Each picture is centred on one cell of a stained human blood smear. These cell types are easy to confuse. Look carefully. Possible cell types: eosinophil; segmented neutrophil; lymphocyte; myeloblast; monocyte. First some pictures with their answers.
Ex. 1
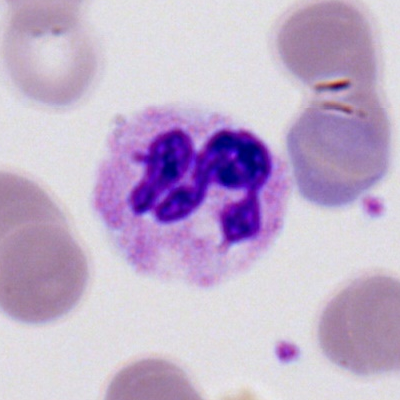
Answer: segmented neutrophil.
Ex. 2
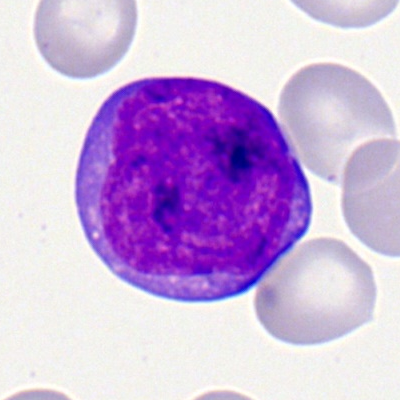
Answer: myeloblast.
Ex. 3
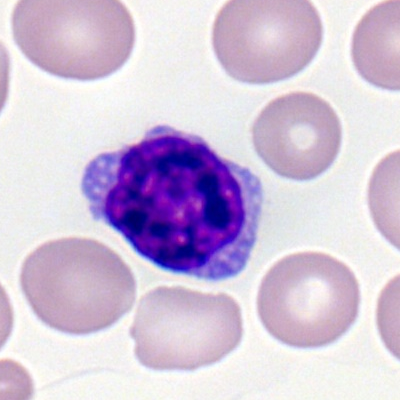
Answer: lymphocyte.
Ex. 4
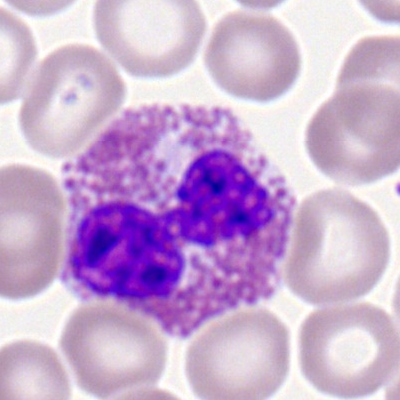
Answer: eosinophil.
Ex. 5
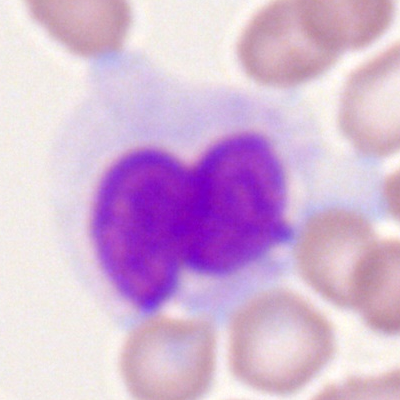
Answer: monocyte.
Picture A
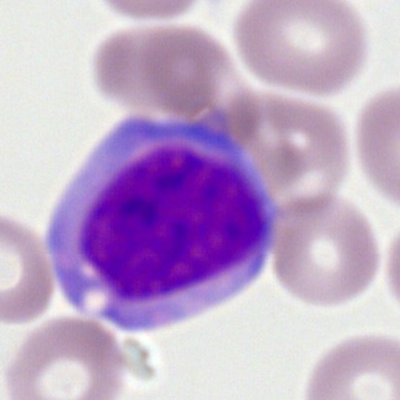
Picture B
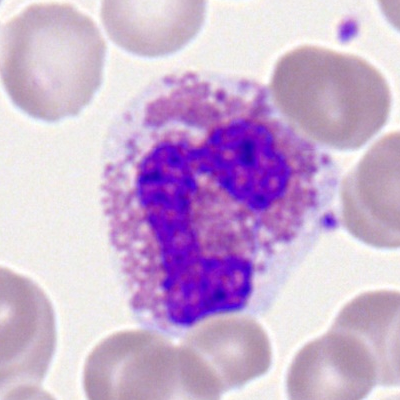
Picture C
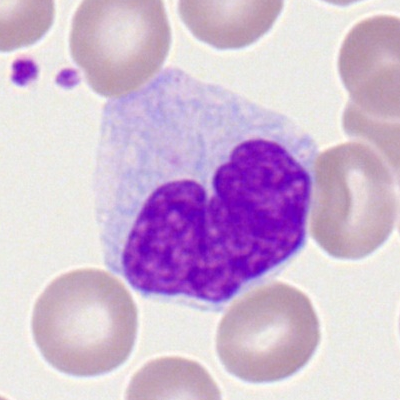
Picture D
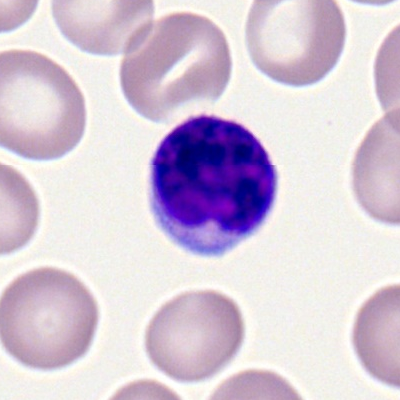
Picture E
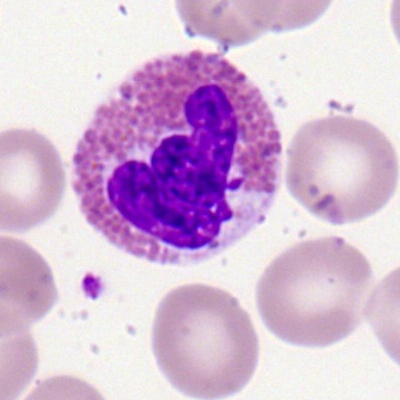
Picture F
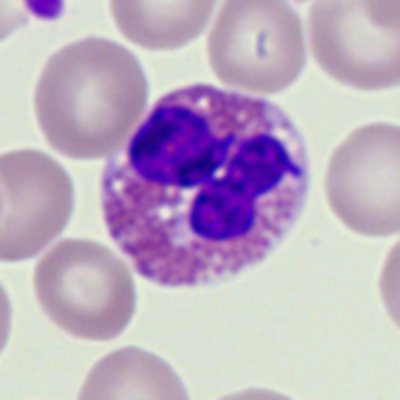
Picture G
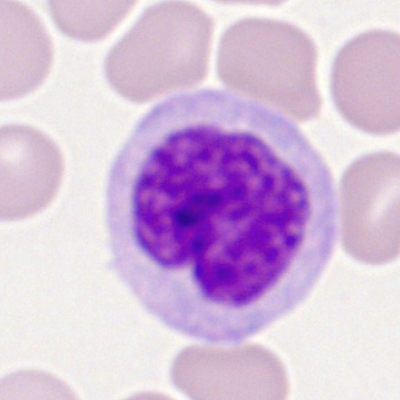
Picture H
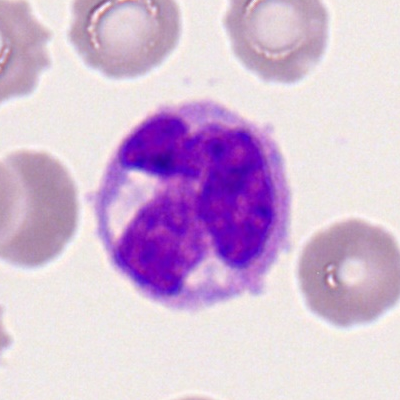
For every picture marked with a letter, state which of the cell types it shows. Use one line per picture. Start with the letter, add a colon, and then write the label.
A: myeloblast.
B: eosinophil.
C: monocyte.
D: lymphocyte.
E: eosinophil.
F: eosinophil.
G: monocyte.
H: monocyte.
